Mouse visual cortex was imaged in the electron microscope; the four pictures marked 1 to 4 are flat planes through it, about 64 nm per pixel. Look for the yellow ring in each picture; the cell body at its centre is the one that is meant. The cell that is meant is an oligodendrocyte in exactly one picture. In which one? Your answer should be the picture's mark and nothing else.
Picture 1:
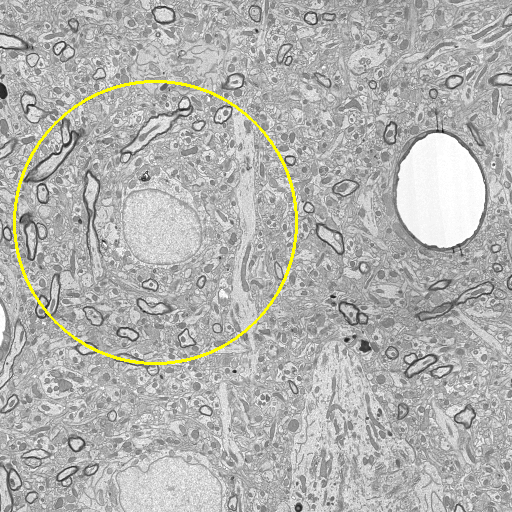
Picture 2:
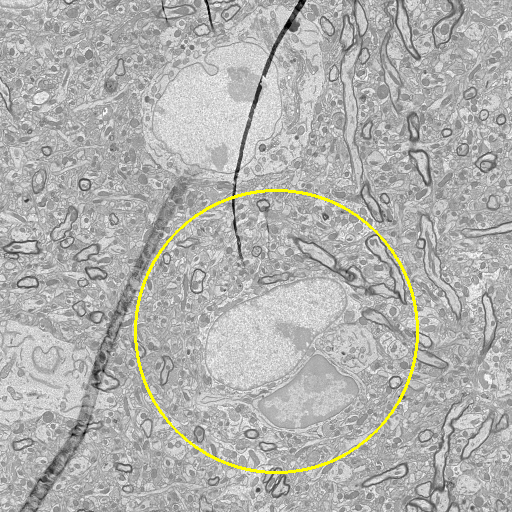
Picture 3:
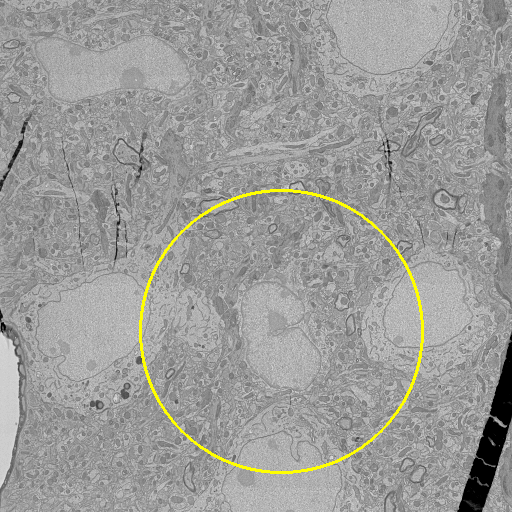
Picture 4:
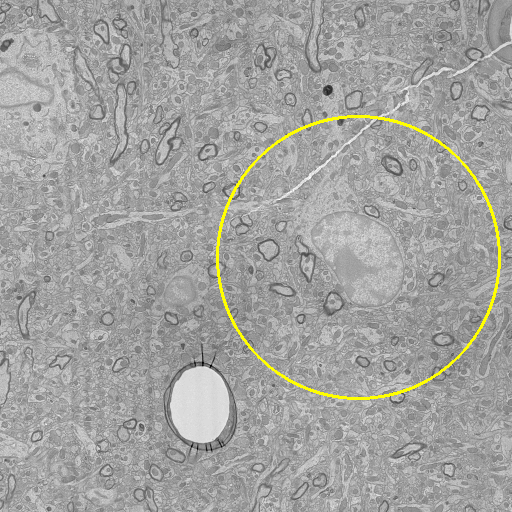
4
